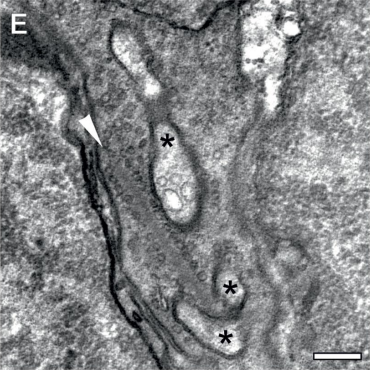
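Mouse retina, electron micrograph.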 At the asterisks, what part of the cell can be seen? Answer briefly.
Postsynaptic elements.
